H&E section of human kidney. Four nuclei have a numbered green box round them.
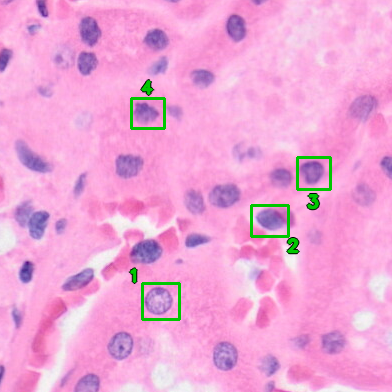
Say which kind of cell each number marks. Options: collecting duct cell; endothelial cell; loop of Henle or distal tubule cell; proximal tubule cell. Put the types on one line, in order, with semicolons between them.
proximal tubule cell; endothelial cell; proximal tubule cell; proximal tubule cell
